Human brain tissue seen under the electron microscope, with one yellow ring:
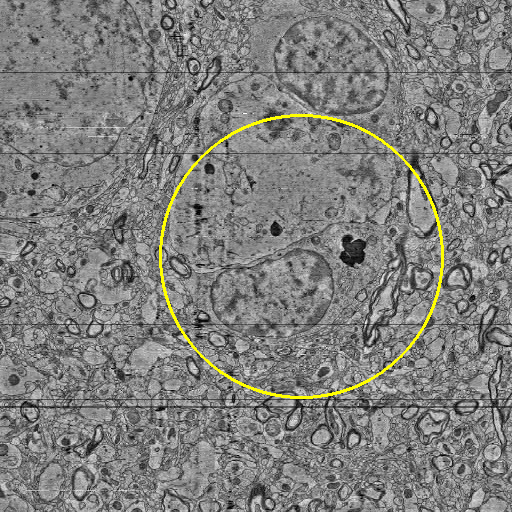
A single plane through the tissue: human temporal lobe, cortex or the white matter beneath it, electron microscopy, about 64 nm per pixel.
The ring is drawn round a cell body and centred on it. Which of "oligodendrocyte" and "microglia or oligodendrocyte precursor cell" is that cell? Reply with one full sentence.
The picture shows an oligodendrocyte at the very centre of the yellow ring.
